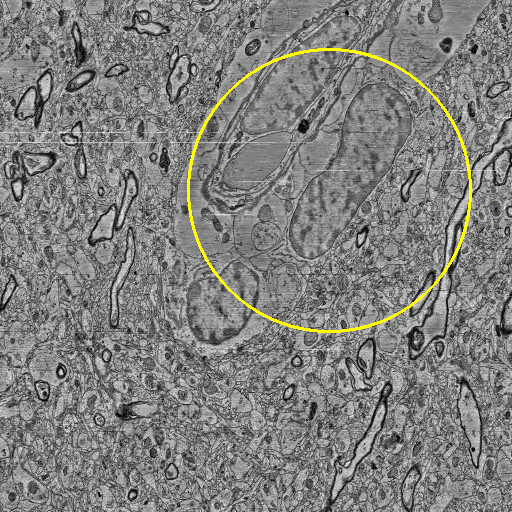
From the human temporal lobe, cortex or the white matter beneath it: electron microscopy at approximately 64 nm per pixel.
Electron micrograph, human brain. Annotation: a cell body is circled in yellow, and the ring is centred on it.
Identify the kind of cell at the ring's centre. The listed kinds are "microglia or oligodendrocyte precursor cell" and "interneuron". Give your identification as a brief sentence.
The circled cell body is that of a microglial cell or oligodendrocyte precursor cell.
